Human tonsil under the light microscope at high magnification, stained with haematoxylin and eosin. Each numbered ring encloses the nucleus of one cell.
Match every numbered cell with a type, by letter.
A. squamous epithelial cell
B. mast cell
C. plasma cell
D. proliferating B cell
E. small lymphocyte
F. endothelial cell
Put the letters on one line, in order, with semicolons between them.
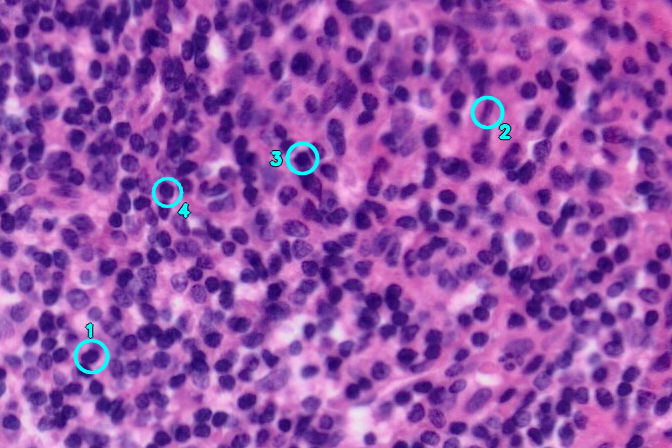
E; F; E; E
